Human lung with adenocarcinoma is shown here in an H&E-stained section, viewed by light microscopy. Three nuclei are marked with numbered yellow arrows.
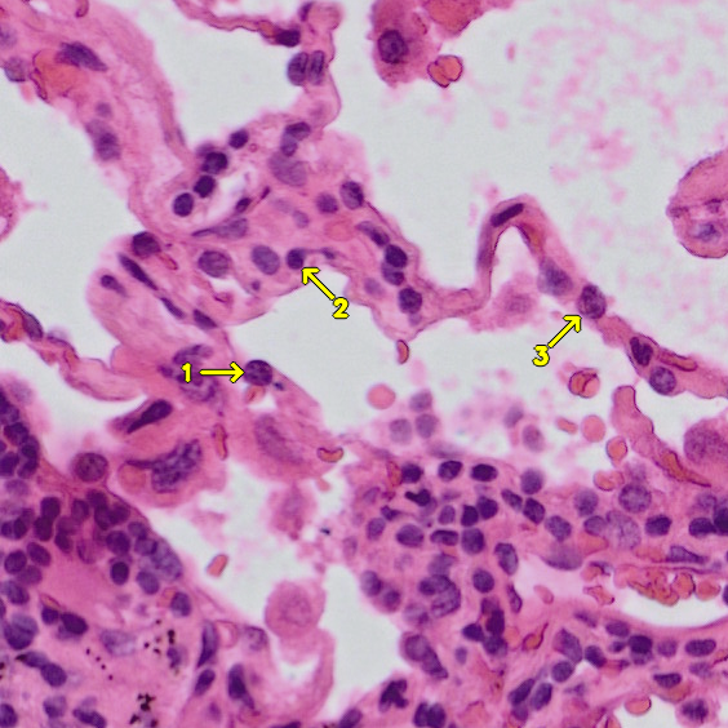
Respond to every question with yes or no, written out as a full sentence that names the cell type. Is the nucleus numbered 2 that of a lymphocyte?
Yes, in this tissue section, number 2 is a lymphocyte.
